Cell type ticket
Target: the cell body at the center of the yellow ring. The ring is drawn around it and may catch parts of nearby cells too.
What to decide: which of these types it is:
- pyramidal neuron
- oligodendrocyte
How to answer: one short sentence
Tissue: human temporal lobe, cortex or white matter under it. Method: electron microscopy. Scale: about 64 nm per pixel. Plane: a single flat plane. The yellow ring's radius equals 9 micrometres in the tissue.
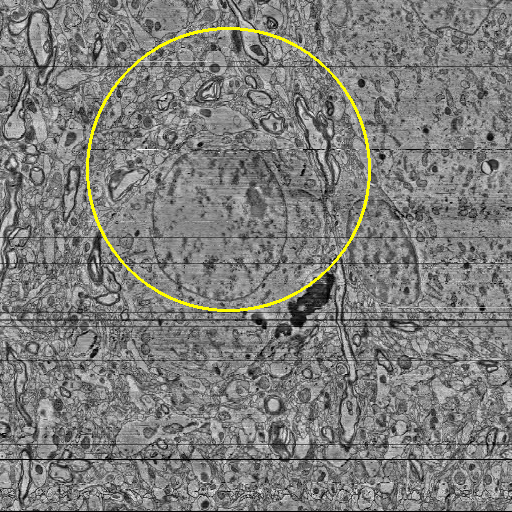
The cell at the center of the ring is a pyramidal neuron.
